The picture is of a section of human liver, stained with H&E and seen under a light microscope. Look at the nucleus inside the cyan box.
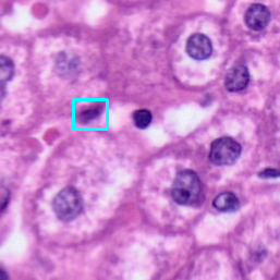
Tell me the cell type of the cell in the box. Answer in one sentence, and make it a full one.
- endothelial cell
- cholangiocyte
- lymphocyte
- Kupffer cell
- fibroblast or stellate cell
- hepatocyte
As far as its identity is concerned, the cell in the box is an endothelial cell.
